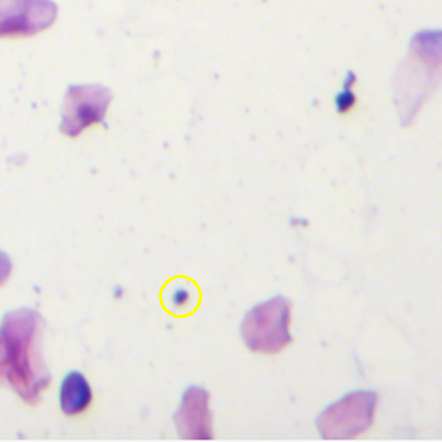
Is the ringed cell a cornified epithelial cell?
No, it is a leukocyte.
